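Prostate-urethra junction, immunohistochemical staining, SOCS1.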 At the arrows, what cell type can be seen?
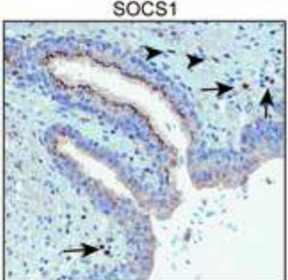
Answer: Immune cells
